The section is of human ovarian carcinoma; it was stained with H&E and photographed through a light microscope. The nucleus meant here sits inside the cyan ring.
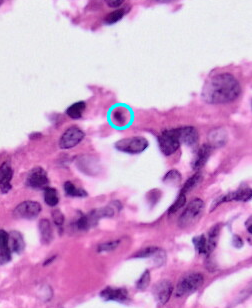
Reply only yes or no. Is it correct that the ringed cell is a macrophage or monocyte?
yes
